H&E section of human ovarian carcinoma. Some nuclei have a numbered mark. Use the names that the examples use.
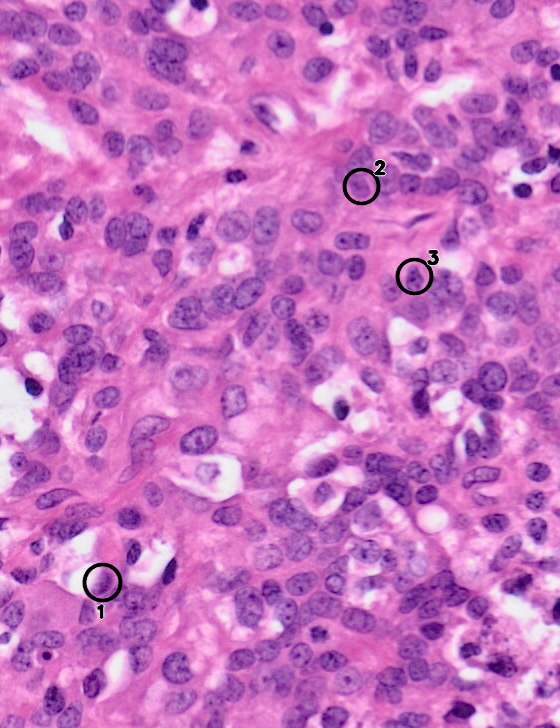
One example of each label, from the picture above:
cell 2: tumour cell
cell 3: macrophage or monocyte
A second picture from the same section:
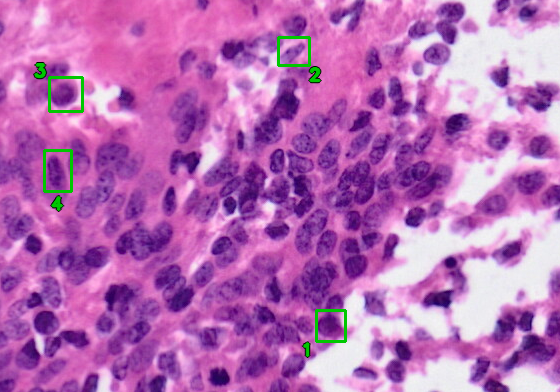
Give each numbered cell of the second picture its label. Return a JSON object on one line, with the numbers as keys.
{"1": "tumour cell", "2": "macrophage or monocyte", "3": "tumour cell", "4": "tumour cell"}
